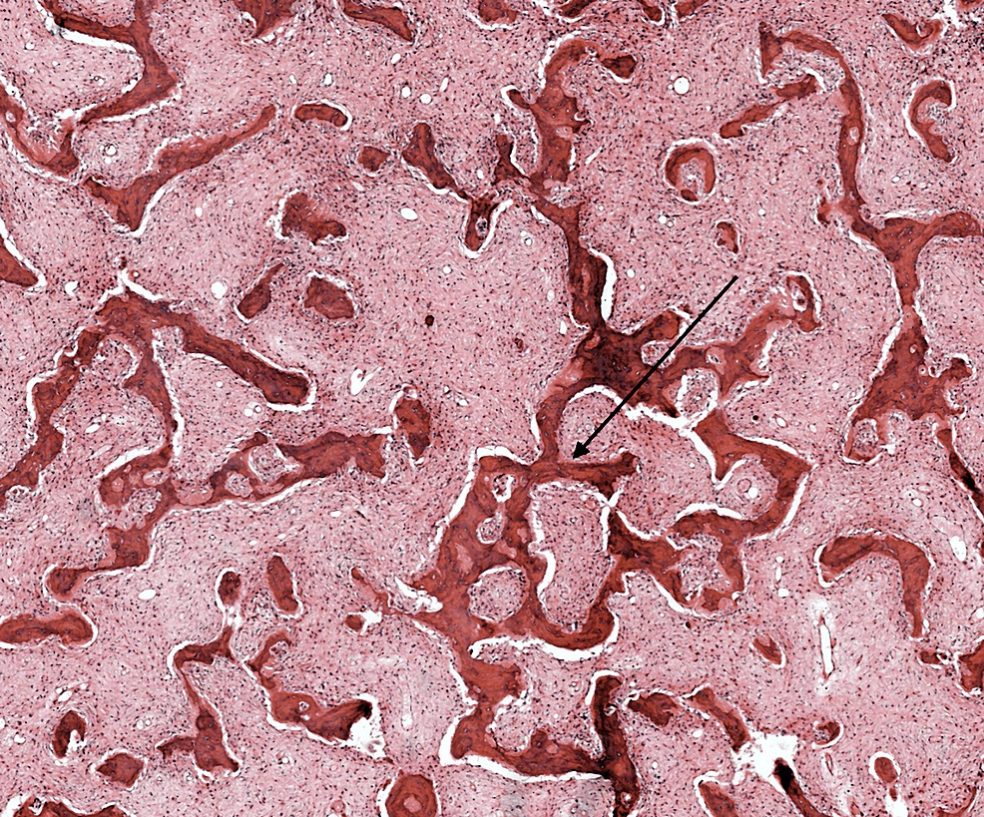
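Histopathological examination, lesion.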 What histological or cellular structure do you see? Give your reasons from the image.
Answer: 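Irregularly shaped "C" or "S" trabeculae with anastomosing patterns. Many dark red bone trabeculae are curved into C-like and S-like shapes. Several trabeculae join one another to form a branching network. The trabeculae are scattered through a pale pink stroma.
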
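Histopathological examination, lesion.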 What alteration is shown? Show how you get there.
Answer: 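The edges of the trabeculae are not lined by rows of plump cells. Narrow clear clefts separate the trabeculae directly from the stroma. So: lacking conspicuous osteoblastic rimming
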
